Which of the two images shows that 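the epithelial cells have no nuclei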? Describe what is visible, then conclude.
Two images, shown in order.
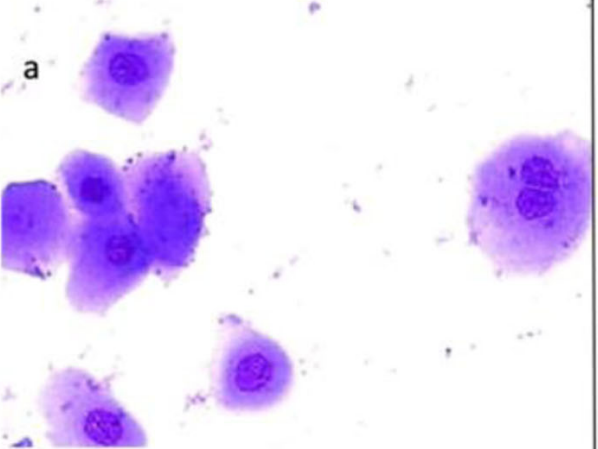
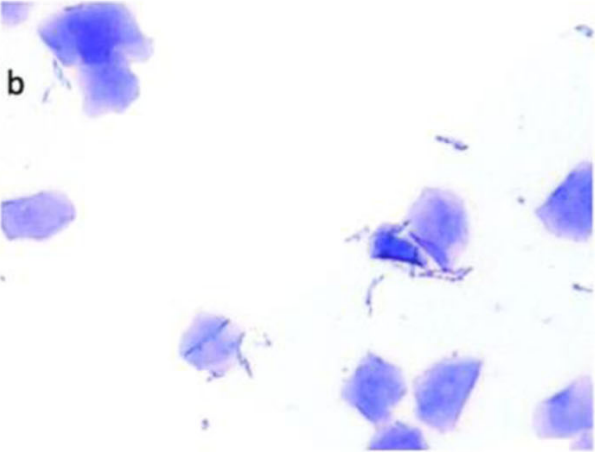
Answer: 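The second image. Second image: flat, angular pale blue cells with no visible nucleus.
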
